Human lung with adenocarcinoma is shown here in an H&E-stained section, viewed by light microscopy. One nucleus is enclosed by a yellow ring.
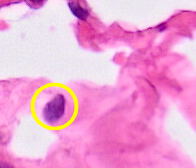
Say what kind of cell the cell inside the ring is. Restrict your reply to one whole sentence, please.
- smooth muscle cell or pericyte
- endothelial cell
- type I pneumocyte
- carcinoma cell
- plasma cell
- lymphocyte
For cell typing purposes, the cell inside the ring is a type I pneumocyte.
